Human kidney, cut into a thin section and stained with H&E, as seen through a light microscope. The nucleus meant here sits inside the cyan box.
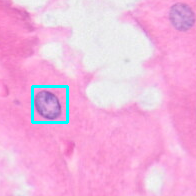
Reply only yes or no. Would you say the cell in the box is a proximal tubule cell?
yes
